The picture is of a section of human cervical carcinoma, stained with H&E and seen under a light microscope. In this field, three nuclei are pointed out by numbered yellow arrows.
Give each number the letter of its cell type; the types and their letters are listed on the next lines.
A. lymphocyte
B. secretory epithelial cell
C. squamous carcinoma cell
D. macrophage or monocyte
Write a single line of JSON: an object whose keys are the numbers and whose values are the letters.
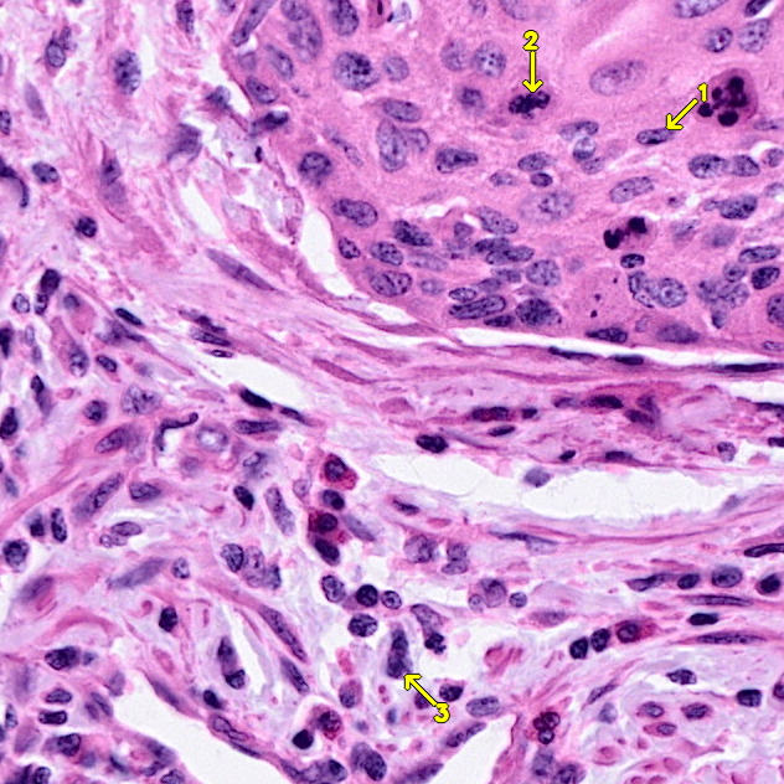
{"1": "C", "2": "C", "3": "A"}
